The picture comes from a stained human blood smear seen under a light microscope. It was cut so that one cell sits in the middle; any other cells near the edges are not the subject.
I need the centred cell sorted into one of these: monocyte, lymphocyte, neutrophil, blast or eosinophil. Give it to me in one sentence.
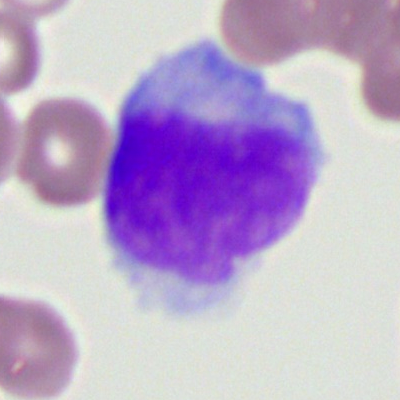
At the middle of the frame sits a monocyte.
